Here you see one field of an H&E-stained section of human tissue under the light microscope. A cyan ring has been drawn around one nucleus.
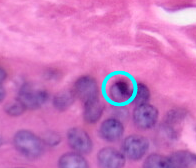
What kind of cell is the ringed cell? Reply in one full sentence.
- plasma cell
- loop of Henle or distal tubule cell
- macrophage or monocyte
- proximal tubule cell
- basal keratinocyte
This is a basal keratinocyte.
